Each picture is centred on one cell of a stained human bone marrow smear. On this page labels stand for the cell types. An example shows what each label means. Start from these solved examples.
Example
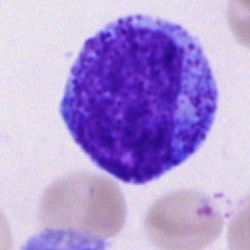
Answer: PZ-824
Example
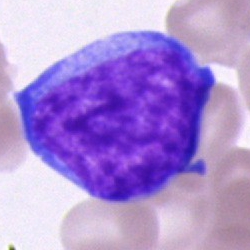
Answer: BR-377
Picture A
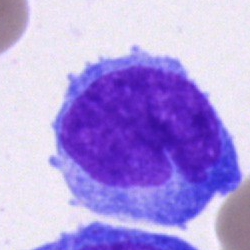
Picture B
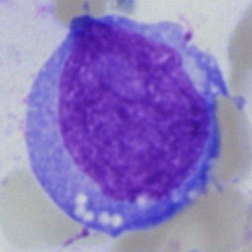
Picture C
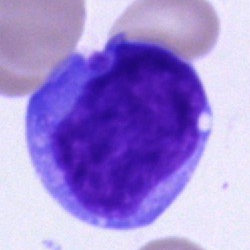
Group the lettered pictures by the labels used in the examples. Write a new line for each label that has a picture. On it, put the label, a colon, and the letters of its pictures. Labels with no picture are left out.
BR-377: A, B, C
